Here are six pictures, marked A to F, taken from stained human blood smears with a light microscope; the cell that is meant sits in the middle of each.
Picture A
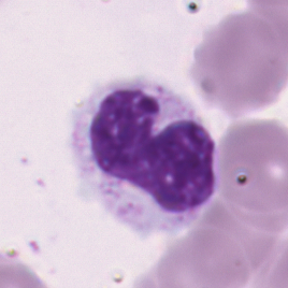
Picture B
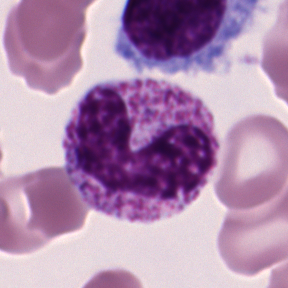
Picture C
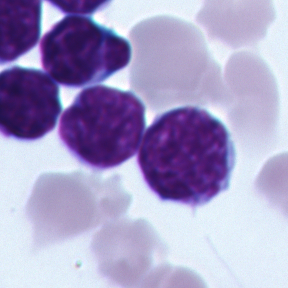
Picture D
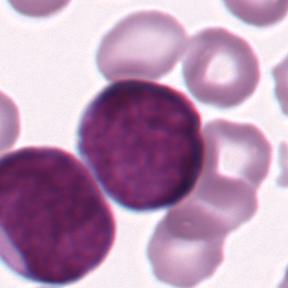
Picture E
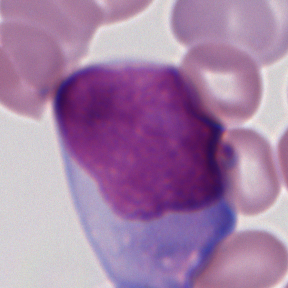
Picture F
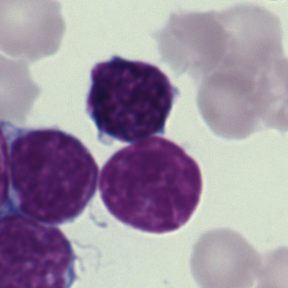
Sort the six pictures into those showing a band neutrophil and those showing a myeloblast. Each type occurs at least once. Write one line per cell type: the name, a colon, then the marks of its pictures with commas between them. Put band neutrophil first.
band neutrophil: A, B
myeloblast: C, D, E, F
